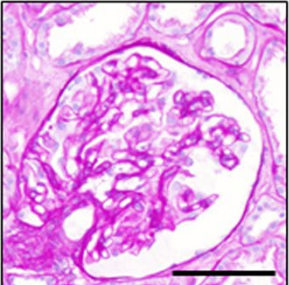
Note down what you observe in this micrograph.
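A glomerulus of kidney cortex is seen within Bowman's capsule, its capillary loops and mesangial areas staining an intense magenta. The loops look irregular and their walls and matrix stand out more thickly than in a normal tuft, with an open urinary space around part of the tuft and tubules at the edges.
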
